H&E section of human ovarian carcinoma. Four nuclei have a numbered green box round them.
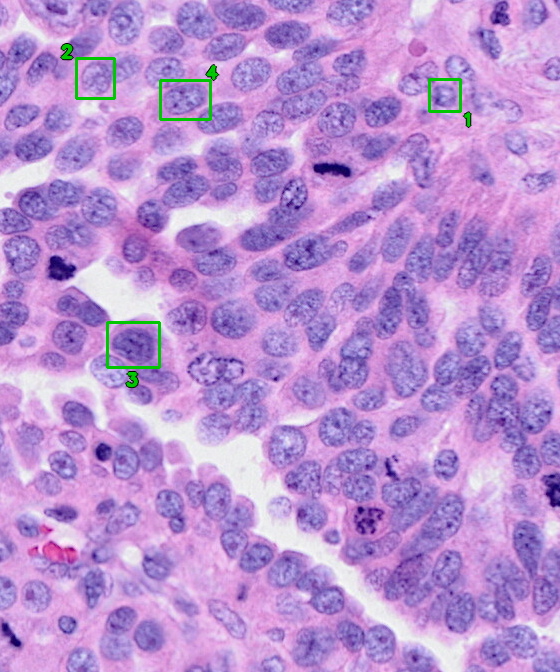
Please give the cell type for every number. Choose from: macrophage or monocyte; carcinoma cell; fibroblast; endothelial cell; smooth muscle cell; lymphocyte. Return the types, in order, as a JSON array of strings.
["fibroblast", "carcinoma cell", "carcinoma cell", "carcinoma cell"]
